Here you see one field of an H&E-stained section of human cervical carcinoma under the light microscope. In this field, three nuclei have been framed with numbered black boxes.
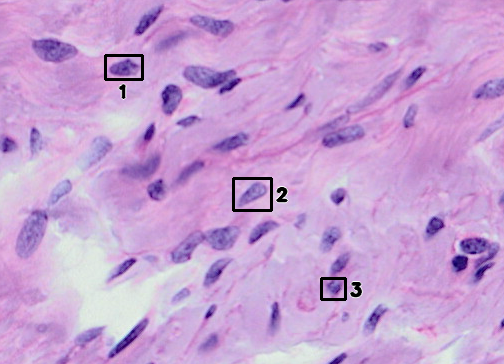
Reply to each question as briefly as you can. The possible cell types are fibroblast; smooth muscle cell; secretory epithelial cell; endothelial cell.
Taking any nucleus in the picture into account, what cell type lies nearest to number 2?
fibroblast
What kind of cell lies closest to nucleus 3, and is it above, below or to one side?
a smooth muscle cell above nucleus 3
